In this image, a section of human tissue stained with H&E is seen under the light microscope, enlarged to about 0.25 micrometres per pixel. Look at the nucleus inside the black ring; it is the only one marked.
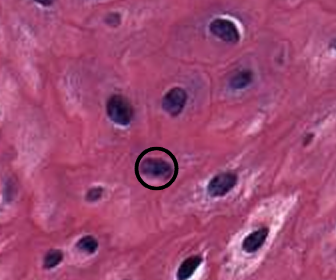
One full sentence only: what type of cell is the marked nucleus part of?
Here it is a squamous epithelial cell that the marked nucleus belongs to.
